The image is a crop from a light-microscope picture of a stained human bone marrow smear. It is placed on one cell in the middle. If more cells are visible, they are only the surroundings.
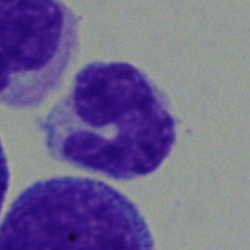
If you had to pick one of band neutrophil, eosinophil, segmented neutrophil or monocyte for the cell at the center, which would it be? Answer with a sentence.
The cell in the middle of the field of view is a band neutrophil.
